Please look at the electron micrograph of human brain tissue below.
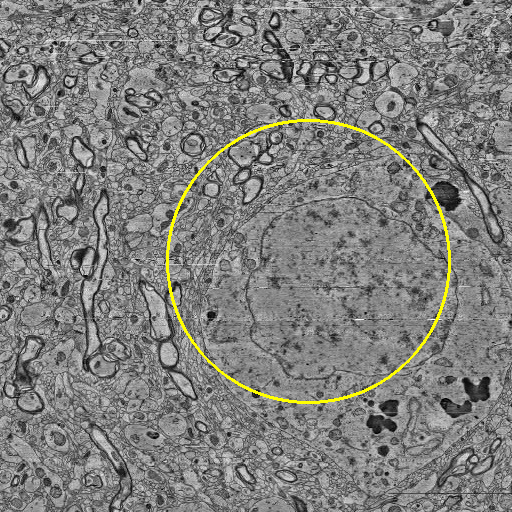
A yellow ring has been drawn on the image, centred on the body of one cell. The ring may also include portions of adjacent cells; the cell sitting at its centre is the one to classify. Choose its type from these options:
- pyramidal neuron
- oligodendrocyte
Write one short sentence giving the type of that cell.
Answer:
The cell in the middle of the ring is a pyramidal neuron.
